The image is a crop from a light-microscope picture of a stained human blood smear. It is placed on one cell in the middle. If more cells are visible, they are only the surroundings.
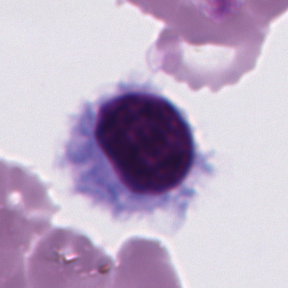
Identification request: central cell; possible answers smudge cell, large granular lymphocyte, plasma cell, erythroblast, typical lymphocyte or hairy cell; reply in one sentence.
Here the cell in the middle is a hairy cell.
